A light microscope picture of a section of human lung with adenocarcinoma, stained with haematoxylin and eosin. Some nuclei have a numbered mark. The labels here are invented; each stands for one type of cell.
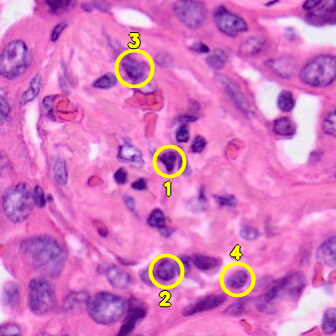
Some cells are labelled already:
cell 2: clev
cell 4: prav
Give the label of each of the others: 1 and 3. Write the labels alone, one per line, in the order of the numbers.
clev
clev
